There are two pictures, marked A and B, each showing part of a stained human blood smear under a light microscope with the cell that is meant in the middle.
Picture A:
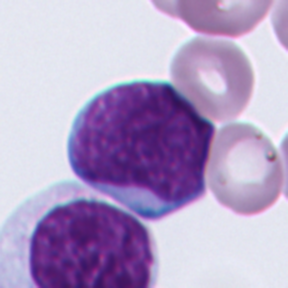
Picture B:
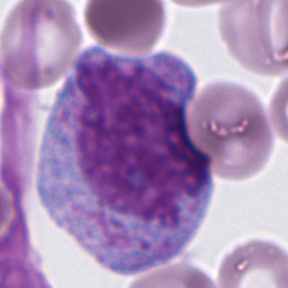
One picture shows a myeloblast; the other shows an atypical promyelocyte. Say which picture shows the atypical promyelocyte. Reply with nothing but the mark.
B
